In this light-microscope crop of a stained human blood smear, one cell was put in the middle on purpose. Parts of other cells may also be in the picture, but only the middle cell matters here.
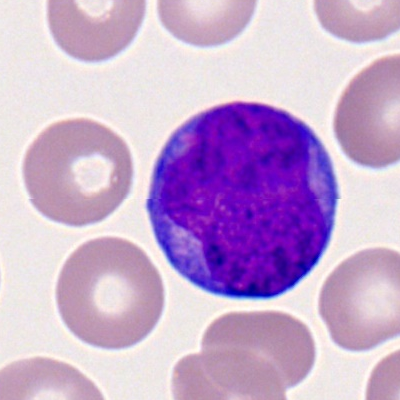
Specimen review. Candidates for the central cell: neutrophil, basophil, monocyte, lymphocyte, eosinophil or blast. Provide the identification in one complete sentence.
Where the crop is centred, there is a blast.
